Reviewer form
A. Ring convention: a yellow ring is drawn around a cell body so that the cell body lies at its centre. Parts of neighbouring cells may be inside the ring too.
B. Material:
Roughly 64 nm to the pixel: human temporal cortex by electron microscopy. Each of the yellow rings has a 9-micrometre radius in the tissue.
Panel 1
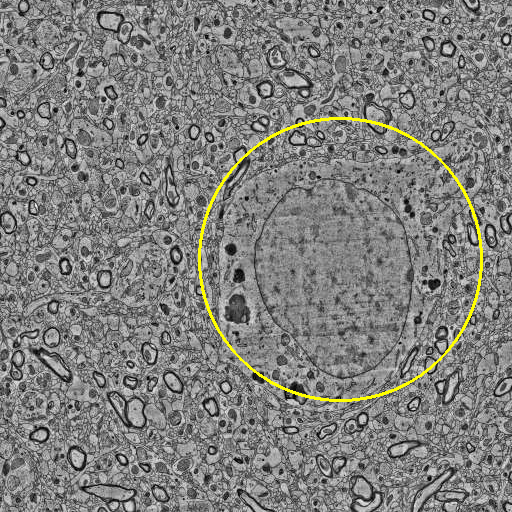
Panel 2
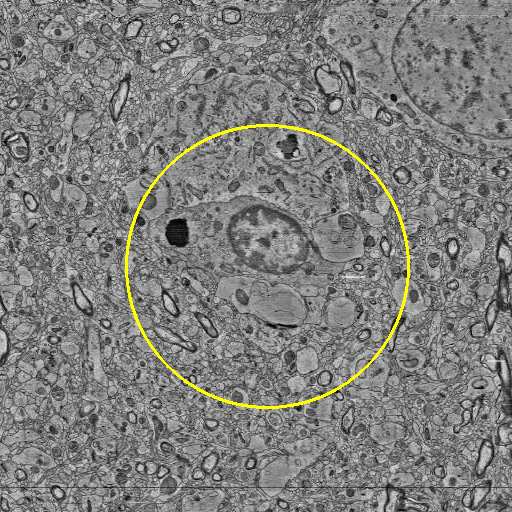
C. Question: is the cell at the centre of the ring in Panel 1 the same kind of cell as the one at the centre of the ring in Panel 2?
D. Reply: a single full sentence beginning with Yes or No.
No, the cells in Panel 1 and Panel 2 are two kinds of cell.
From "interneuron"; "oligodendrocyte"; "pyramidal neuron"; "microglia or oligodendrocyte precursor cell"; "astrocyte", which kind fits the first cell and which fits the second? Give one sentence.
The cell marked in the first picture is a pyramidal neuron, and the one marked in the second is an oligodendrocyte.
